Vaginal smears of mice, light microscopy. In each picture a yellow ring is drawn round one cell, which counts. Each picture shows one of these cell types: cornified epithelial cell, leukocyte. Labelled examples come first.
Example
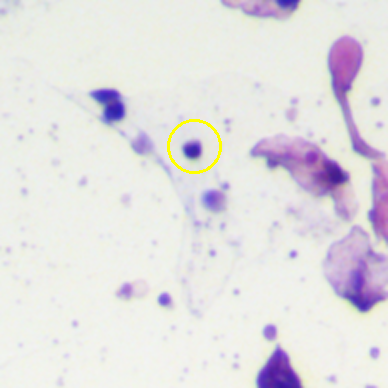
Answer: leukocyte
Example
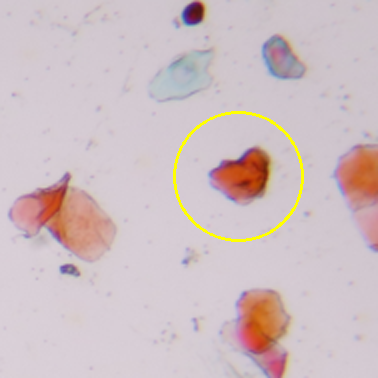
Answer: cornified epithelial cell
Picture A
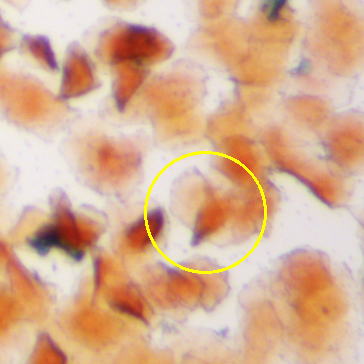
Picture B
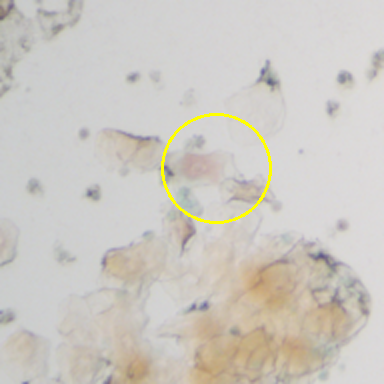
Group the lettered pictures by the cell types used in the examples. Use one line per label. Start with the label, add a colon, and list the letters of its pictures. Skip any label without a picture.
cornified epithelial cell: A, B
